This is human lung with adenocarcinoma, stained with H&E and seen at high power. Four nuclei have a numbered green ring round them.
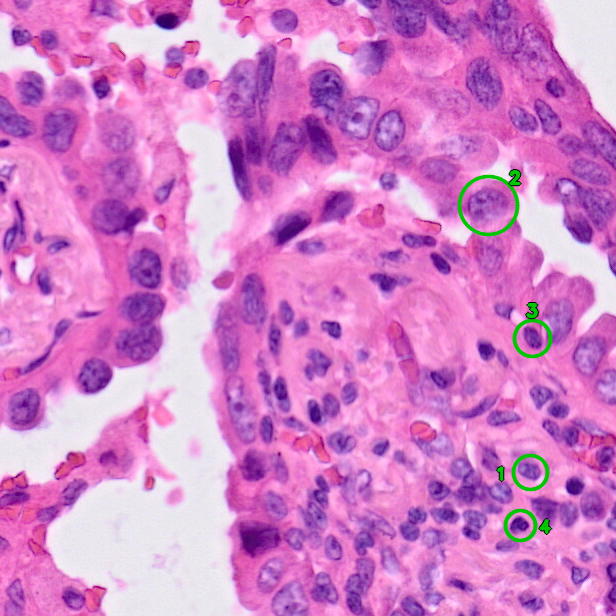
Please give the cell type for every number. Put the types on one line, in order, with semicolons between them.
lymphocyte; carcinoma cell; lymphocyte; lymphocyte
